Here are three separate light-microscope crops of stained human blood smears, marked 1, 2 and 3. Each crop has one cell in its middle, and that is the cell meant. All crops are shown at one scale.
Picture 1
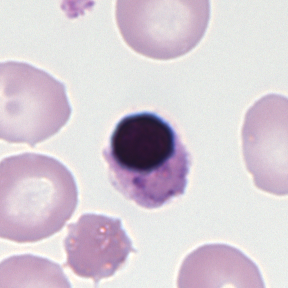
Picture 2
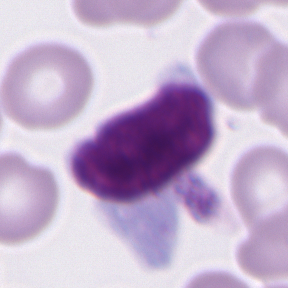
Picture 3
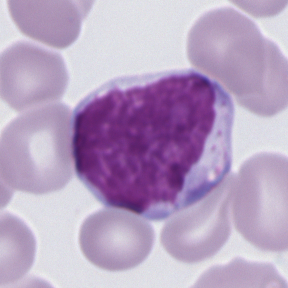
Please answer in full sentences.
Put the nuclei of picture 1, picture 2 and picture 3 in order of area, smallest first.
The order is 1, 2, 3, beginning with the smallest.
